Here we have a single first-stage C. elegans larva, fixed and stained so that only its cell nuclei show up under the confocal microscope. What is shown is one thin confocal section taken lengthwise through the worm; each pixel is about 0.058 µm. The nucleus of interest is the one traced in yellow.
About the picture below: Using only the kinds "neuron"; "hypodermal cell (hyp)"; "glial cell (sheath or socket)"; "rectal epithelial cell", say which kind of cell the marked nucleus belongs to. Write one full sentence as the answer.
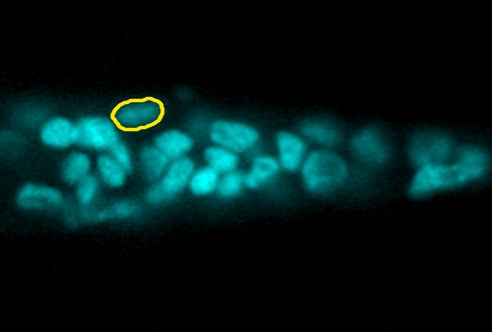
This is the nucleus of a rectal epithelial cell.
